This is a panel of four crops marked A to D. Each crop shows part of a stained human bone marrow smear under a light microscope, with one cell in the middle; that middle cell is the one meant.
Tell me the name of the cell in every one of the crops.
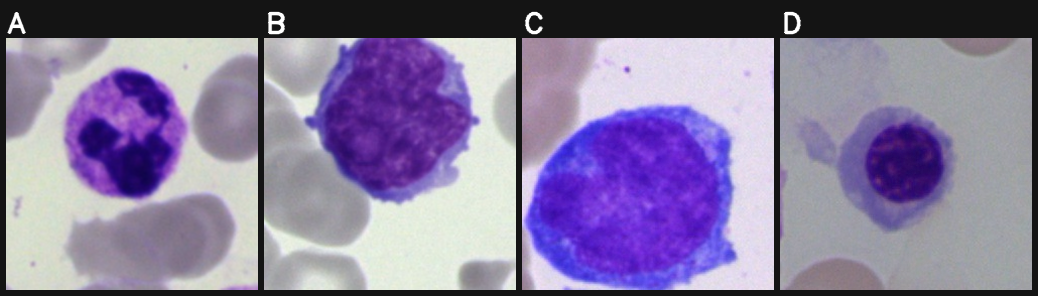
A: segmented neutrophil
B: blast
C: blast
D: erythroblast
